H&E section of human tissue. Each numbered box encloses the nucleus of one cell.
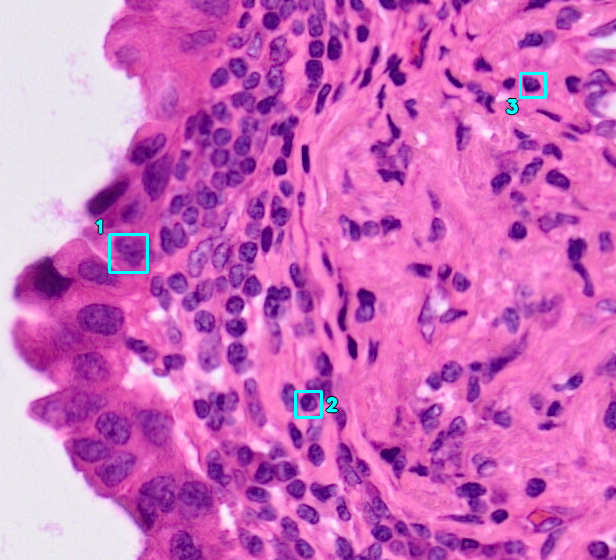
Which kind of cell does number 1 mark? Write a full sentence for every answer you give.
Numbered cell 1 is a carcinoma cell in this tissue section.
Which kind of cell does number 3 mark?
Denoted by the label 3 in the section is a lymphocyte.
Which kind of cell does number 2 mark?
In this section, number 2 marks a lymphocyte.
